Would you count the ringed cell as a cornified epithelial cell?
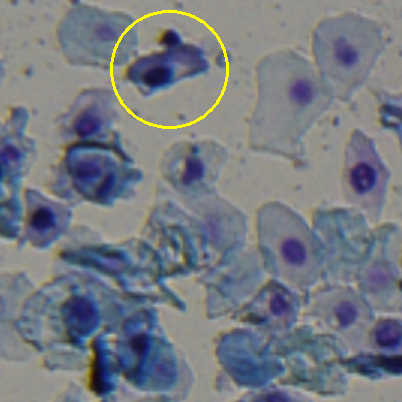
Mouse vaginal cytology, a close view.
No, I would count it as a nucleated epithelial cell.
